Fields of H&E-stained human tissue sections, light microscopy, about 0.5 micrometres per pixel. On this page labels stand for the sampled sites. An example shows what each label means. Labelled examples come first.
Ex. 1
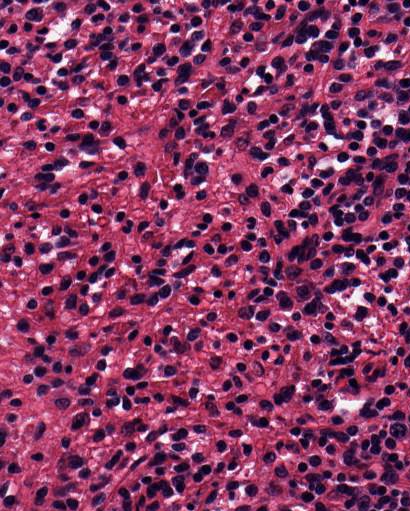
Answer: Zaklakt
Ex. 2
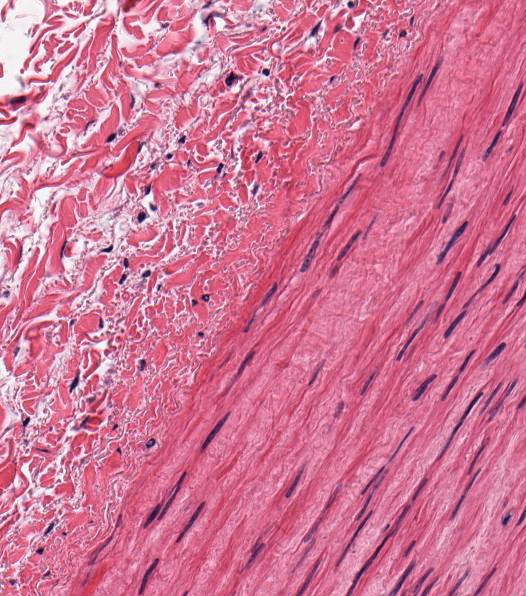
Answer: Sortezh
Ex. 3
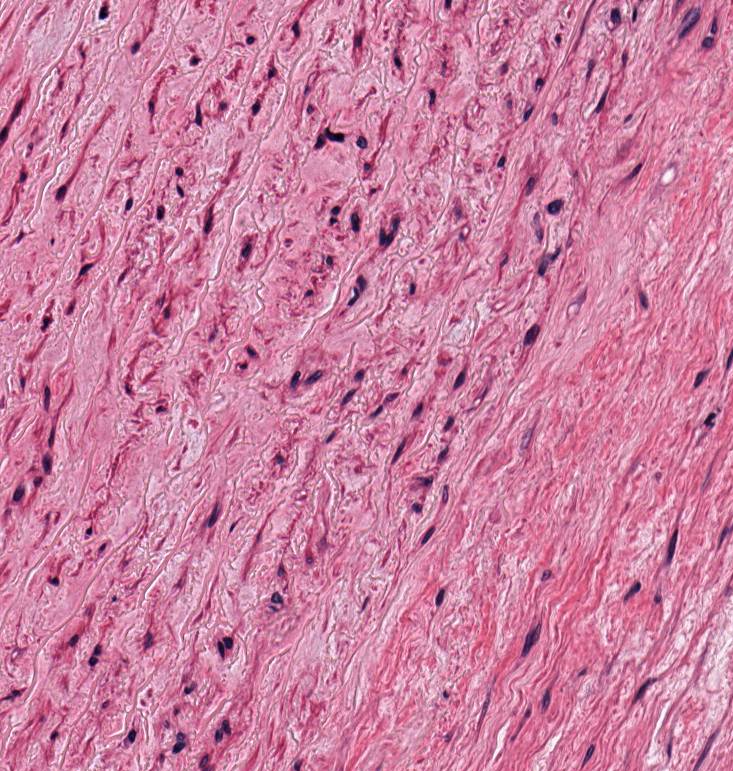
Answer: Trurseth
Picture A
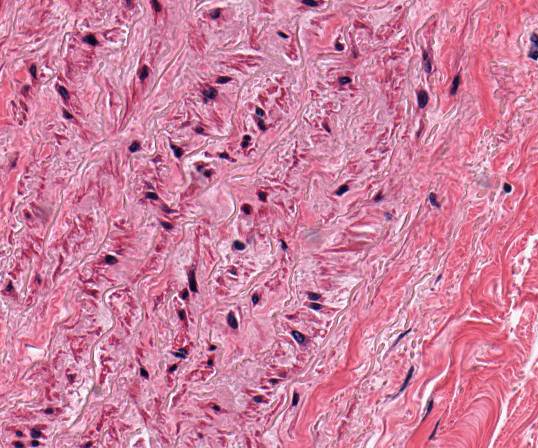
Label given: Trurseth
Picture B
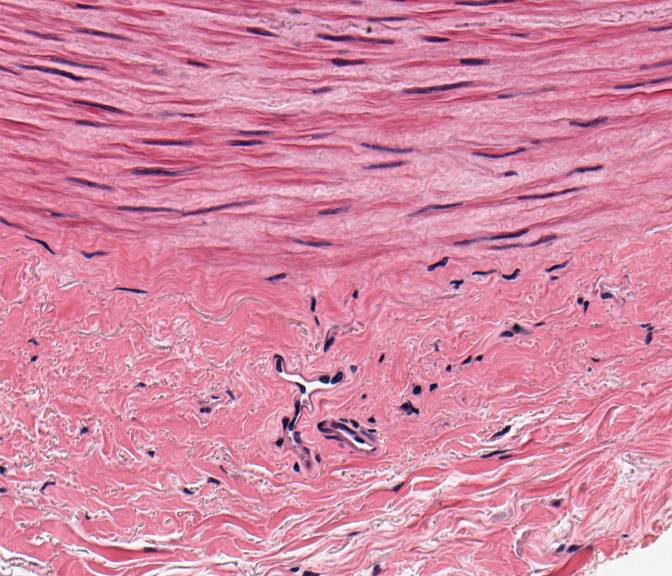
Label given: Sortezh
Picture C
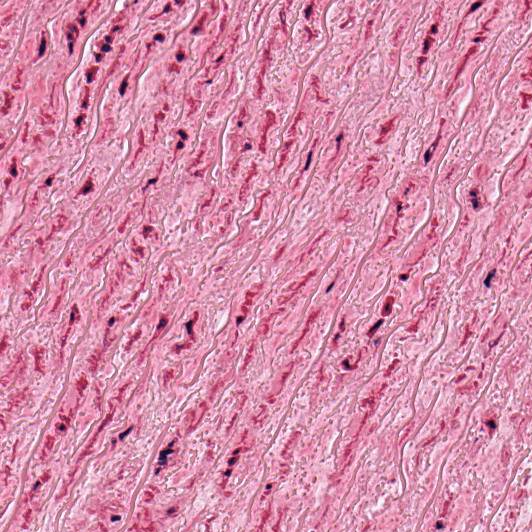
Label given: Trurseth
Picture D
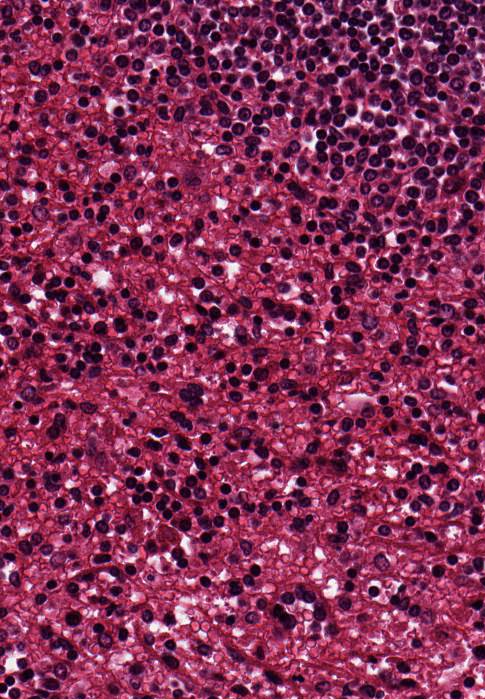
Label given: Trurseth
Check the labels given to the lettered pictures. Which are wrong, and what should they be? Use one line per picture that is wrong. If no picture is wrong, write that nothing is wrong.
D should be Zaklakt, not Trurseth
